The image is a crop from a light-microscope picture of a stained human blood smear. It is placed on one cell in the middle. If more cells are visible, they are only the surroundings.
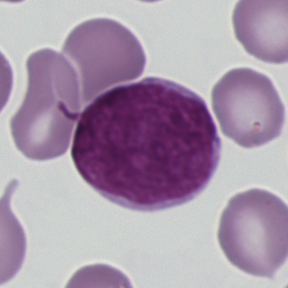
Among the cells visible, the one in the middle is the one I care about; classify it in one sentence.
Classified as a myeloblast is the cell in the middle of this crop.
